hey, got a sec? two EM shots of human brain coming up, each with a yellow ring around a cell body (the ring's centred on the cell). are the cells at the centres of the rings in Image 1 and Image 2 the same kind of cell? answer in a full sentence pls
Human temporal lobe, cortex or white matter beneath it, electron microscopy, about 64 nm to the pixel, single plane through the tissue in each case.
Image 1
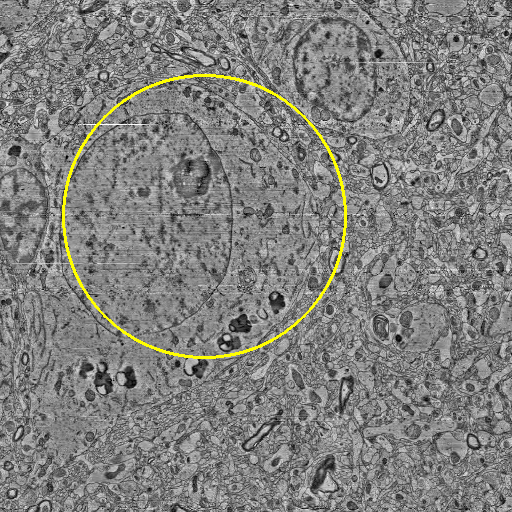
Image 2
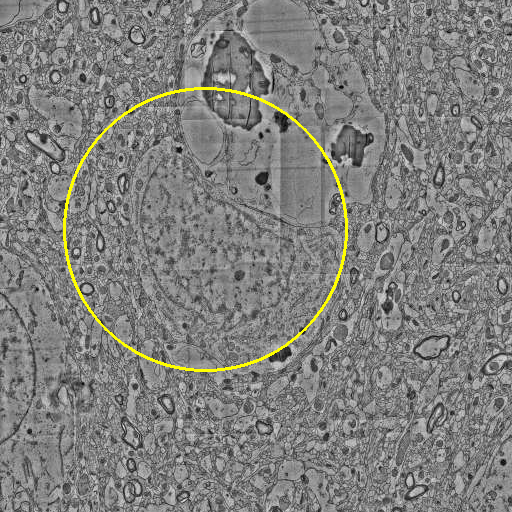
No, they are two kinds of cell.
